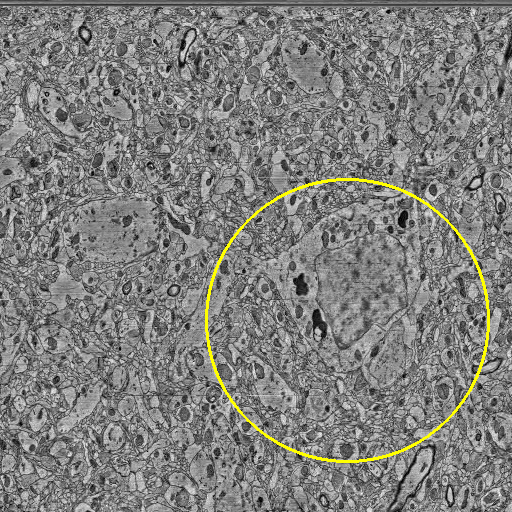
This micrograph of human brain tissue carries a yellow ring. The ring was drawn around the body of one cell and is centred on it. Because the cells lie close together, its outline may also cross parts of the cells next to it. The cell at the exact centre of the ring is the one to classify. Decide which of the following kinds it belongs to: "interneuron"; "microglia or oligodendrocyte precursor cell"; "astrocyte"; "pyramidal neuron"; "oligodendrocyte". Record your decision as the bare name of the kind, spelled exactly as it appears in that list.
interneuron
